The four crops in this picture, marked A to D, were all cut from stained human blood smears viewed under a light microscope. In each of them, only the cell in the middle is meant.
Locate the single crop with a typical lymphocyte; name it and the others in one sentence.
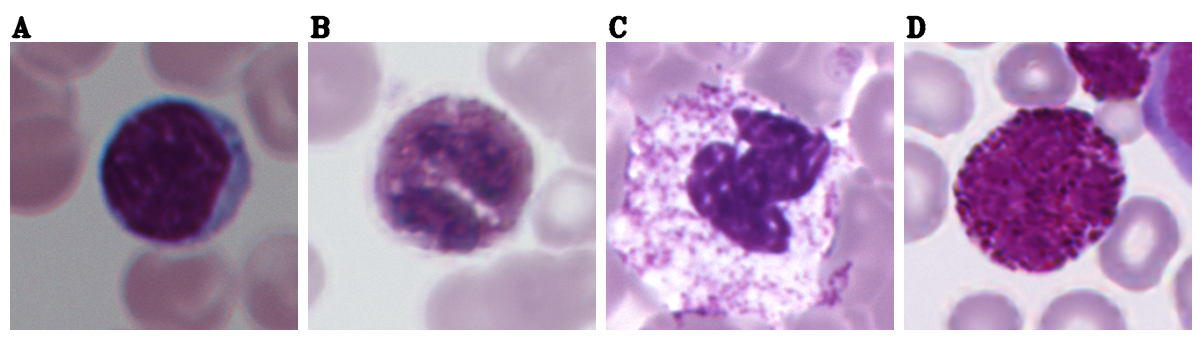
Crop A is identified as a typical lymphocyte, while crop B is an eosinophil, crop C is a segmented neutrophil and crop D is a basophil.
